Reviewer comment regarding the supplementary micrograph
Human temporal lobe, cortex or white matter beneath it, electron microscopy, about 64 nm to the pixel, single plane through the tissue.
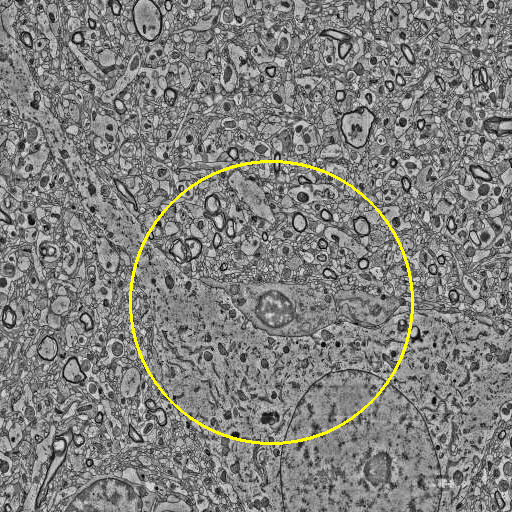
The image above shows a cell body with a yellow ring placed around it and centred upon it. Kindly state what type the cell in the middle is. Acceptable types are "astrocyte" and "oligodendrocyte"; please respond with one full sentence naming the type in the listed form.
In the image above, the cell on which the yellow ring is centred is an oligodendrocyte.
